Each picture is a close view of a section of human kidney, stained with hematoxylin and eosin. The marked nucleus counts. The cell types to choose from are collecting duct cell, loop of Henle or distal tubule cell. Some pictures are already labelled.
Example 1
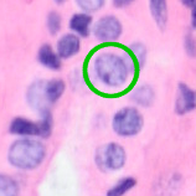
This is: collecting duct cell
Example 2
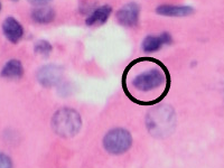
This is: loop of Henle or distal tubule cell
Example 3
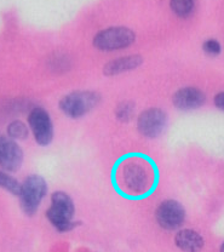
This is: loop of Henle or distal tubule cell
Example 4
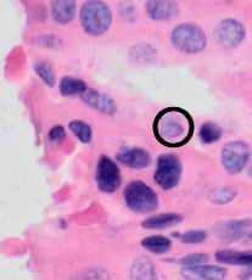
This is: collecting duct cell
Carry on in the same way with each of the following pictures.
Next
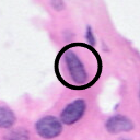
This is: collecting duct cell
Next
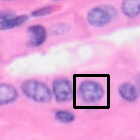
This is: collecting duct cell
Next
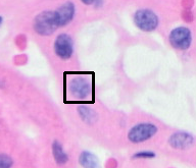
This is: collecting duct cell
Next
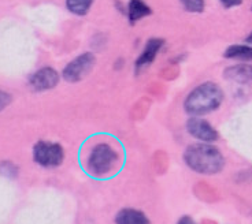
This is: loop of Henle or distal tubule cell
